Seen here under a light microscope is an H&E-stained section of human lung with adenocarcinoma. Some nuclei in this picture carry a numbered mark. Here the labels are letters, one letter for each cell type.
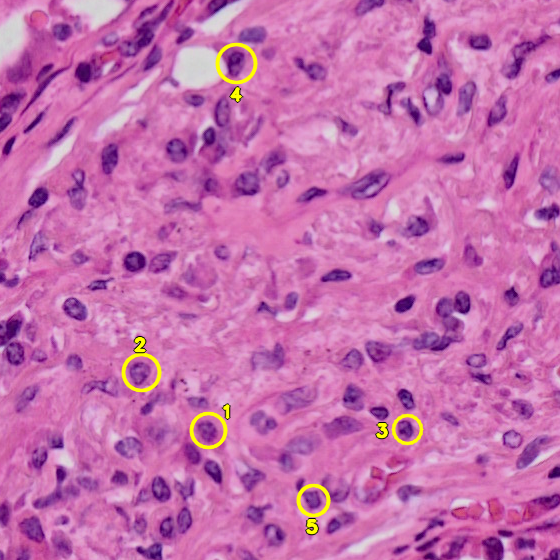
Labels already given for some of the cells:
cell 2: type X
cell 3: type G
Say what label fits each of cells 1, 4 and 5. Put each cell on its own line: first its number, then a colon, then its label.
1: type X
4: type X
5: type G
